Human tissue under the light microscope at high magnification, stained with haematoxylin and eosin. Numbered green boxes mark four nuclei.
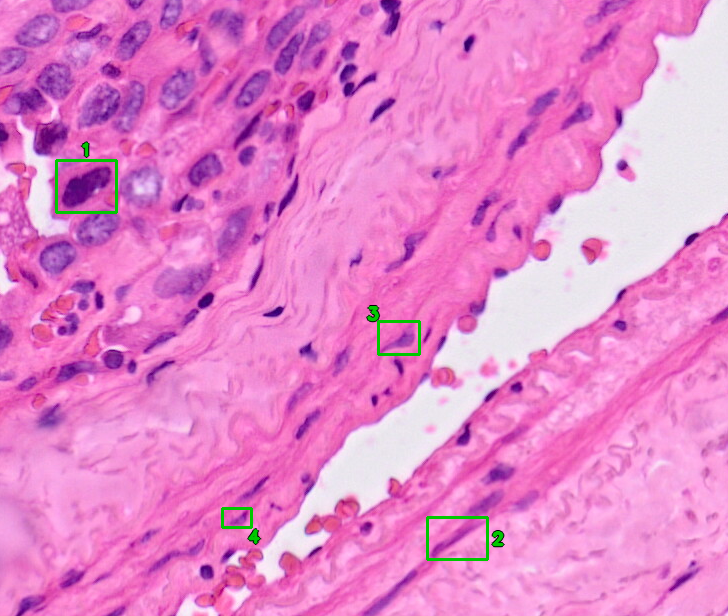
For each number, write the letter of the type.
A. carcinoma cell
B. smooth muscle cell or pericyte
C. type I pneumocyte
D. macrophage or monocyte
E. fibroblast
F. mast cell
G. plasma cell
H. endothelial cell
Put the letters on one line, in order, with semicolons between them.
A; B; B; B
